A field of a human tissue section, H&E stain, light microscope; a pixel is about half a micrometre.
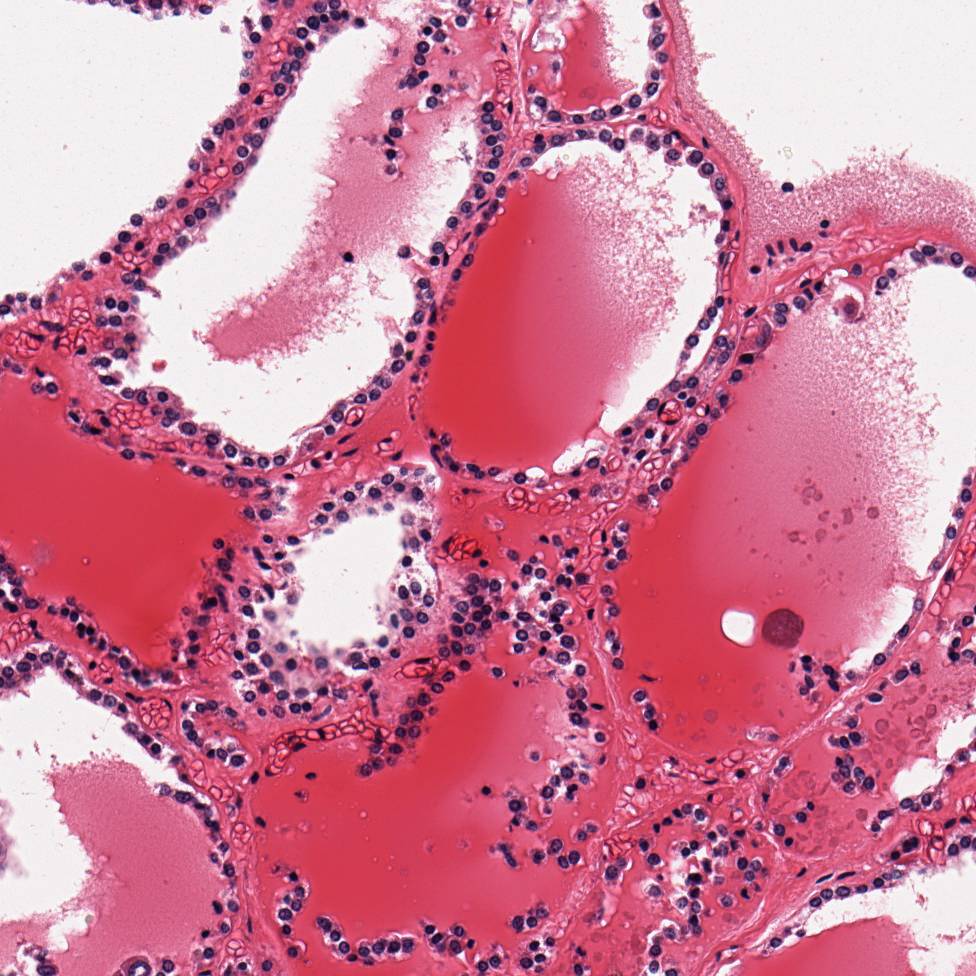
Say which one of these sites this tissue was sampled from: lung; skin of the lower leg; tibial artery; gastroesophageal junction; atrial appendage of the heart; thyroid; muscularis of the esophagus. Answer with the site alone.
thyroid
